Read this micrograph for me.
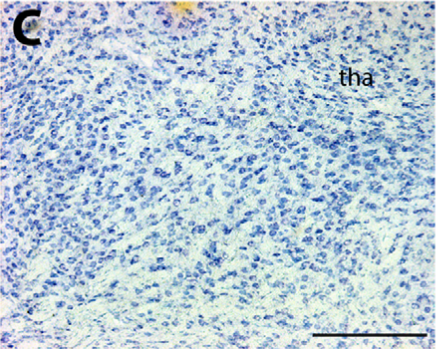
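Many small round to oval blue-stained nuclei are scattered fairly evenly through a pale, finely textured neuropil. Some nuclei fall into loose streams or rows running obliquely across the field. No holes or clear spaces interrupt the tissue, which appears compact and continuous.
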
